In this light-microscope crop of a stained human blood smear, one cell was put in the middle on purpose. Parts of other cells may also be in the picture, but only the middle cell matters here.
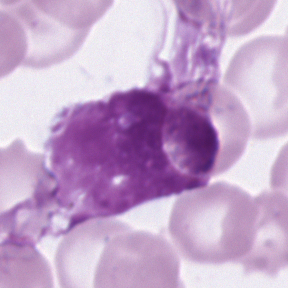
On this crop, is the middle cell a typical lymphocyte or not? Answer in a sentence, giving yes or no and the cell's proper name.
No, the middle of the crop holds a smudge cell, not a typical lymphocyte.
